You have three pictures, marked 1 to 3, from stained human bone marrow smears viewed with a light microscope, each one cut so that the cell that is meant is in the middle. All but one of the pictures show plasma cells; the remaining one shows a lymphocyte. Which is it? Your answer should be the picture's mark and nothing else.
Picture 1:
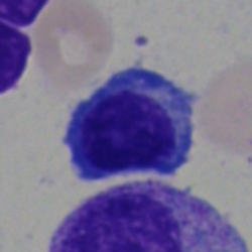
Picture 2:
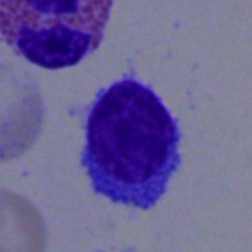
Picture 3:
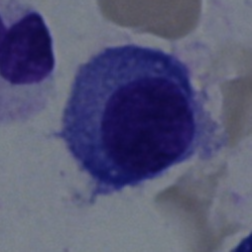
2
